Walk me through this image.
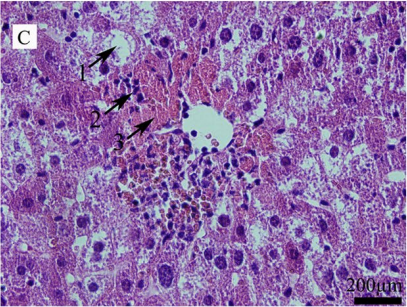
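Liver tissue around a central vein shows disrupted hepatocyte cords. Beside the vein lies a dense cluster of small cells with dark, round nuclei and scant cytoplasm, an inflammatory cell infiltrate. Adjacent to it is an area of intensely pink, homogeneous material in which hepatocyte nuclei are indistinct, consistent with necrosis. Elsewhere hepatocytes are swollen with pale, vacuolated cytoplasm, and some appear as rounded clear spaces, in keeping with ballooning degeneration. Surviving hepatocytes are large polygonal cells with round central nuclei and pink granular cytoplasm.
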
